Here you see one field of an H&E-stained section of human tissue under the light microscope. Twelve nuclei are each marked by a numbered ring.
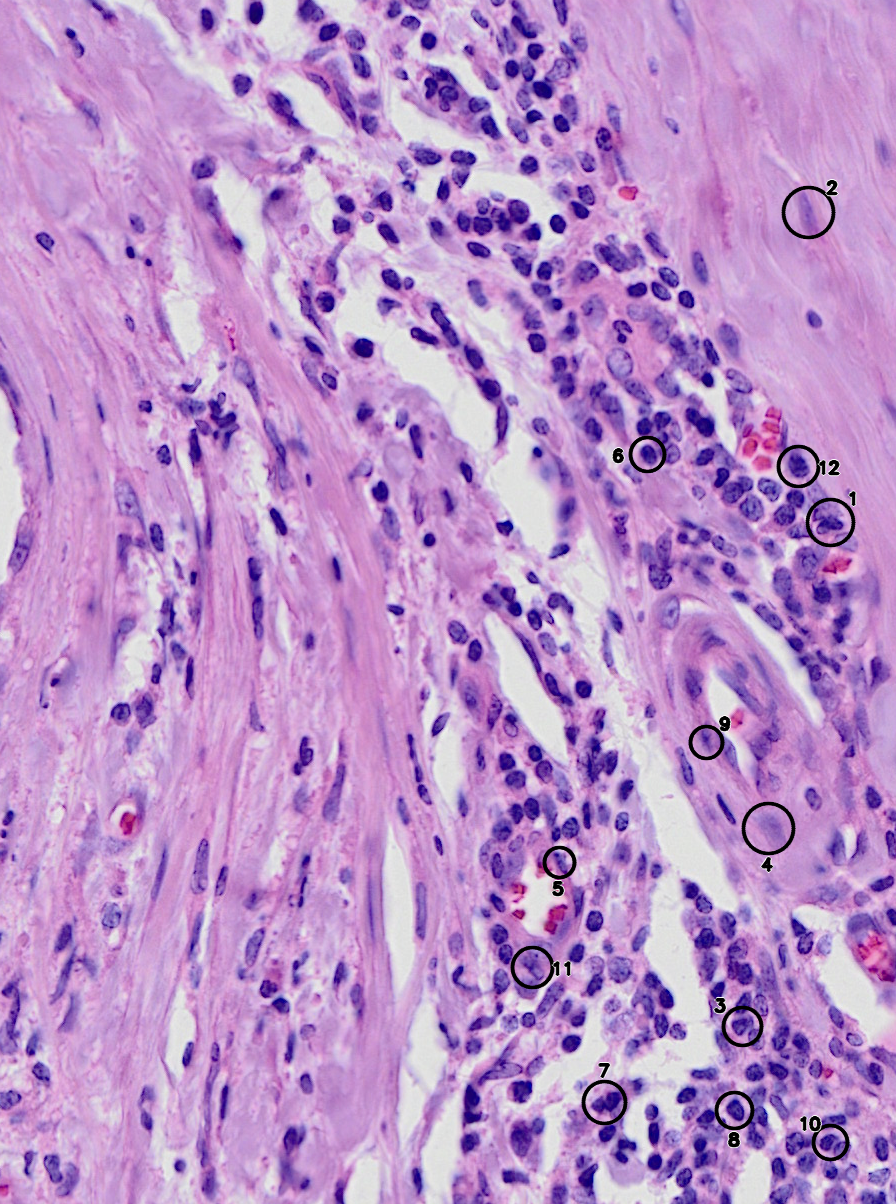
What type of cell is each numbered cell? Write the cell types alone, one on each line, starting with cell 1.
lymphocyte
fibroblast
lymphocyte
fibroblast
endothelial cell
lymphocyte
lymphocyte
lymphocyte
endothelial cell
lymphocyte
endothelial cell
lymphocyte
